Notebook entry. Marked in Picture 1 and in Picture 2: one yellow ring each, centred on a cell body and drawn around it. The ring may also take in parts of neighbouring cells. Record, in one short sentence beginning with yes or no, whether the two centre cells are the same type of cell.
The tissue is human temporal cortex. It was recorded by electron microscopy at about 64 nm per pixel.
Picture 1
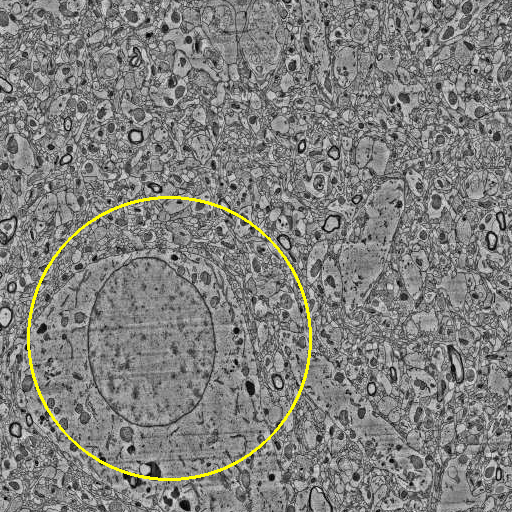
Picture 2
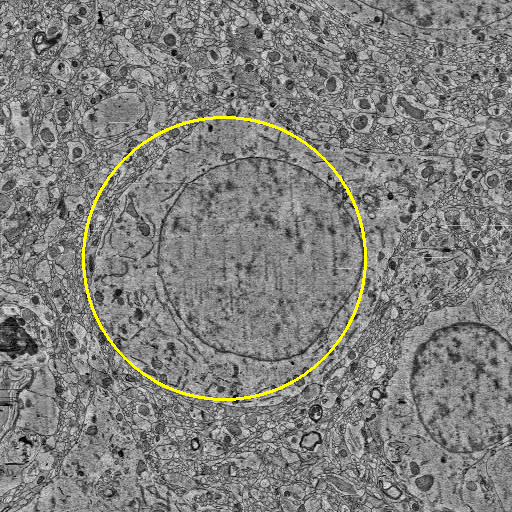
Yes, both are the same type of cell.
